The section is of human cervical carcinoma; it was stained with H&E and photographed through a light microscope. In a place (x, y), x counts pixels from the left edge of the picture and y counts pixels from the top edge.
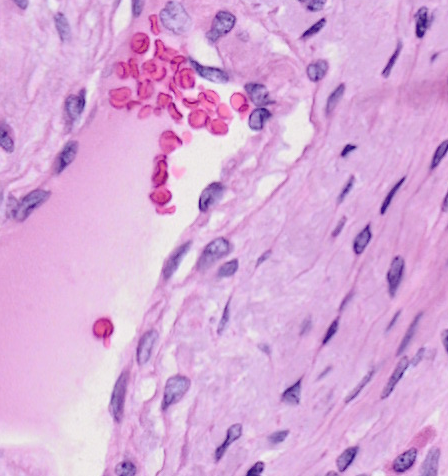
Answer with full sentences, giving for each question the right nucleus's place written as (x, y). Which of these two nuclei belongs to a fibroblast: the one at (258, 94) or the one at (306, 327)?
Which one belongs to a fibroblast? The nucleus at (306, 327) does.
